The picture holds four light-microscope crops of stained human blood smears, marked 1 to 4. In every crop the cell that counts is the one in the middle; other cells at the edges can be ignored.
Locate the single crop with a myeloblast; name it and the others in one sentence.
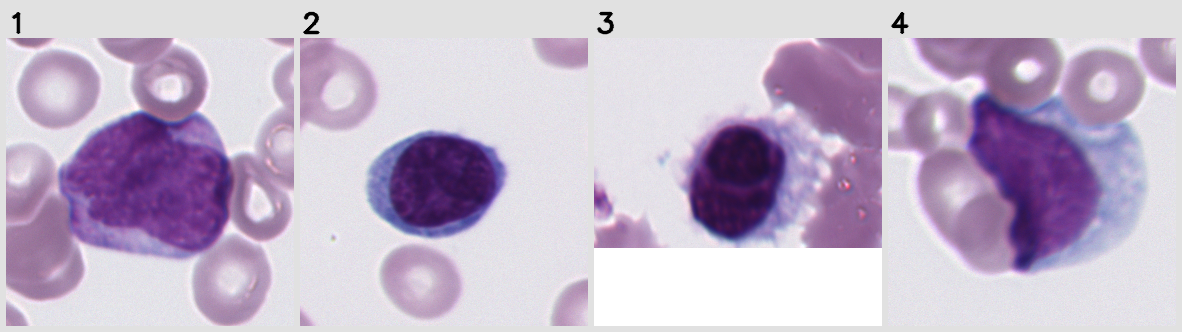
Crop 4 is best given as a myeloblast, while crop 1 is an atypical promyelocyte, crop 2 is a typical lymphocyte and crop 3 is a hairy cell.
